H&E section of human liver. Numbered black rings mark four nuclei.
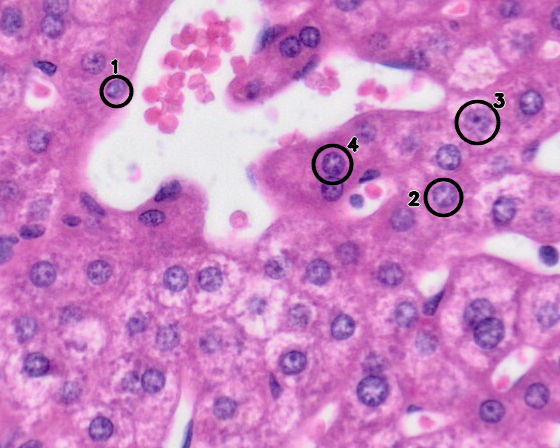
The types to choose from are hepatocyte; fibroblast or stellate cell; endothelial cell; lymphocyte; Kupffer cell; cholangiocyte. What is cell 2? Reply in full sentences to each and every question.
The cell to which the number 2 is assigned is a hepatocyte.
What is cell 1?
Cell 1 is classified as a cholangiocyte.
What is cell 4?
The one numbered 4 among the marked cells is a hepatocyte.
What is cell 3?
It is as a hepatocyte that the cell numbered 3 is identified.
